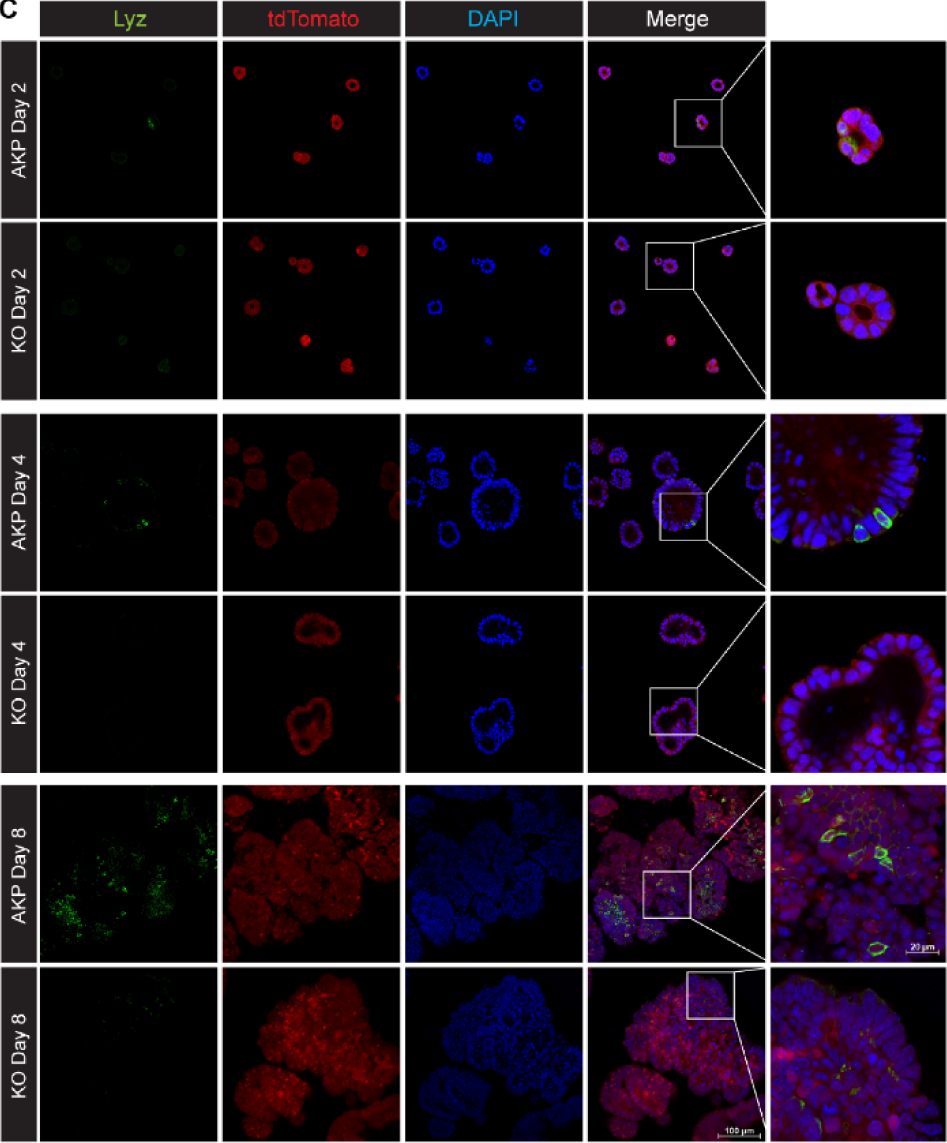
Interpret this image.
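Small compact spheres are seen in the top rows, larger hollow and budding cysts in the middle rows, and large, dense, crowded masses in the bottom rows. Scattered individual epithelial cells carry green granular staining in their cytoplasm, seen most clearly in the enlarged views, while most cells of the lining lack green signal.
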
